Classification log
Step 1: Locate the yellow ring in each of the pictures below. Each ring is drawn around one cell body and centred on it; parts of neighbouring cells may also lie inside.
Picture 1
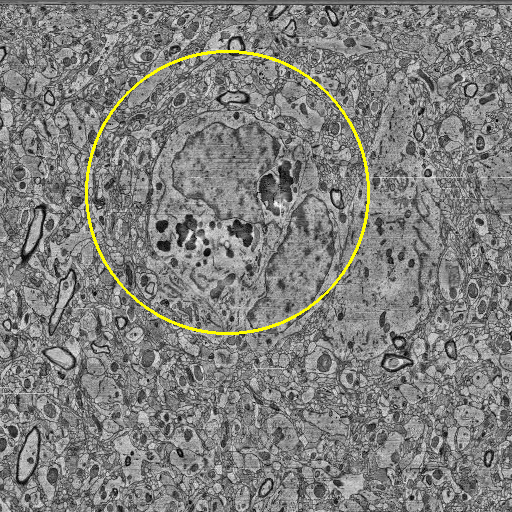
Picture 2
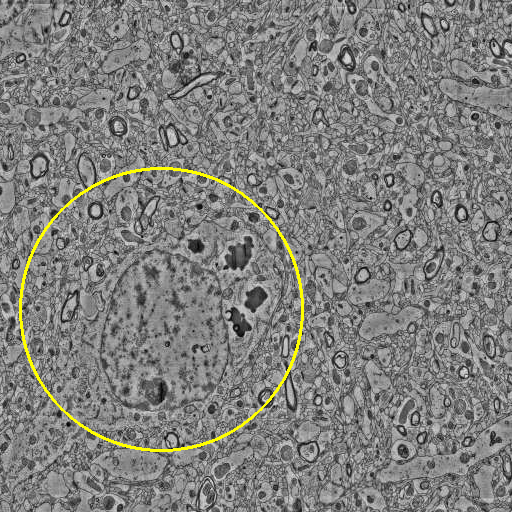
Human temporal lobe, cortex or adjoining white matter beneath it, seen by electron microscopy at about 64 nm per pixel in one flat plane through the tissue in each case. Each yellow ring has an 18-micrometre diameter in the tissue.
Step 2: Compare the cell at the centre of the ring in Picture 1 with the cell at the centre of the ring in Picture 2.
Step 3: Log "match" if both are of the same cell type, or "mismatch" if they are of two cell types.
match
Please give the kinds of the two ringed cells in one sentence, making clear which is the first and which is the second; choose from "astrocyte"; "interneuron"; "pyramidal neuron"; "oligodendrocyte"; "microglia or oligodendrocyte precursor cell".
In the first picture and in the second, the ring is centred on an interneuron.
